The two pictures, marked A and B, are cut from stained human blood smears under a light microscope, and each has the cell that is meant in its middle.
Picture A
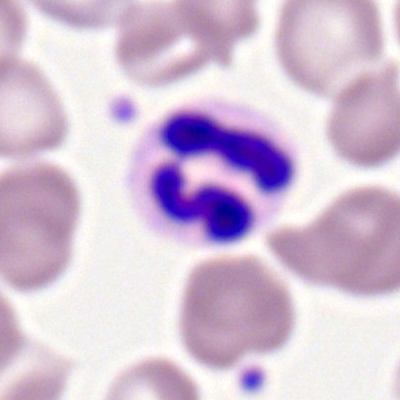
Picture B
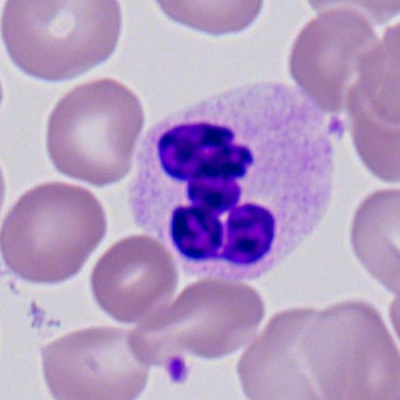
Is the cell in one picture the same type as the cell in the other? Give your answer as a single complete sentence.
Yes, the two pictures both show segmented neutrophils.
